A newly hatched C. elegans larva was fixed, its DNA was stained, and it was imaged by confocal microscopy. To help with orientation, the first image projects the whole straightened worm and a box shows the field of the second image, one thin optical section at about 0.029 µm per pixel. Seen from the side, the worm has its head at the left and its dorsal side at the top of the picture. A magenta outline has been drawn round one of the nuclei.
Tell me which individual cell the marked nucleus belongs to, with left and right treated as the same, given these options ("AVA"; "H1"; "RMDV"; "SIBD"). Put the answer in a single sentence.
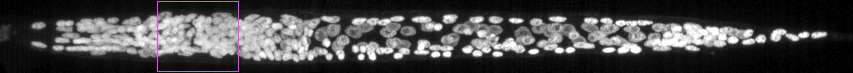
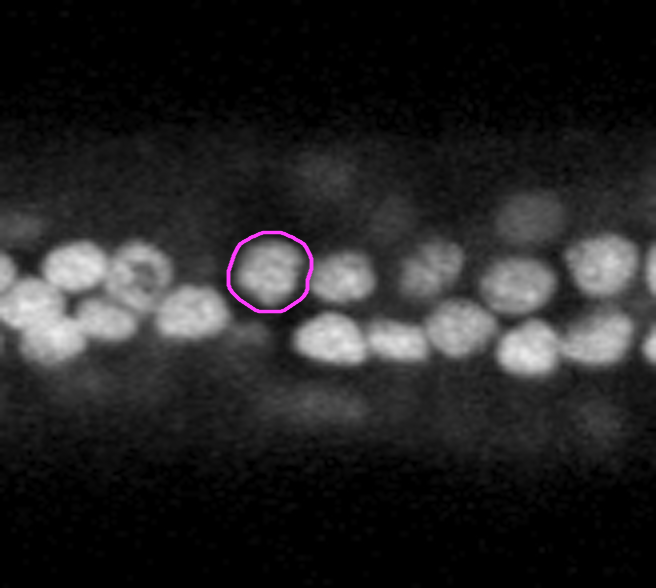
The marked nucleus belongs to RMDV, a neuron.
